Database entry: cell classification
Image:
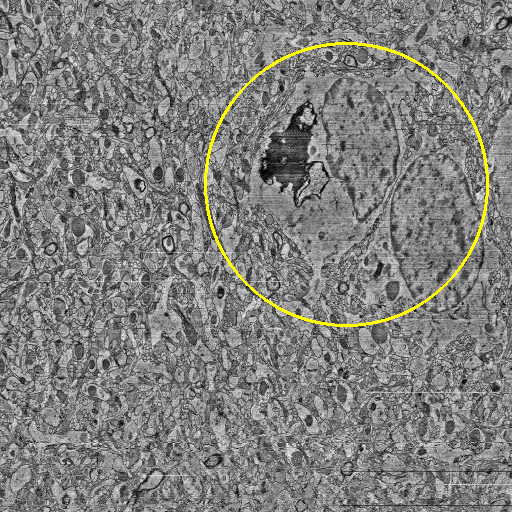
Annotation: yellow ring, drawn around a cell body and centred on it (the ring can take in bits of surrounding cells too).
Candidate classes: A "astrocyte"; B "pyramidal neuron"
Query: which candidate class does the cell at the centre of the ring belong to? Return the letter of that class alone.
A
